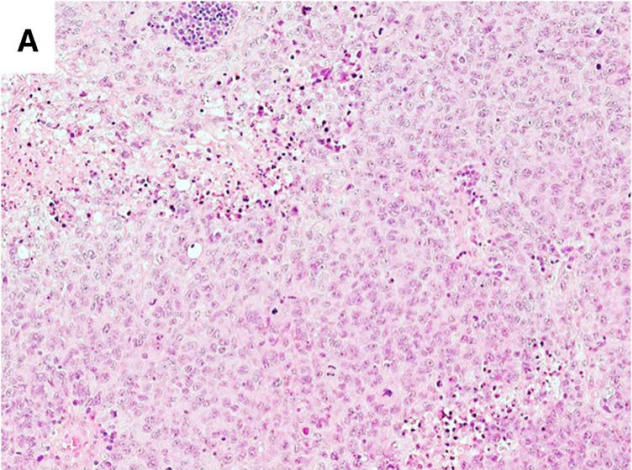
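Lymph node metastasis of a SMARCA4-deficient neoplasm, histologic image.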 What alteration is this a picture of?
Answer: Solid growth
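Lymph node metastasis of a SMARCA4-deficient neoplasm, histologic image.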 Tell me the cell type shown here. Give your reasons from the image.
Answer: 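Large pleomorphic cells. Sheets of large cells with abundant pale pink cytoplasm. Nuclei vary in size and shape, several with visible nucleoli. The cells are much larger than the small dark lymphocytes at the top.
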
